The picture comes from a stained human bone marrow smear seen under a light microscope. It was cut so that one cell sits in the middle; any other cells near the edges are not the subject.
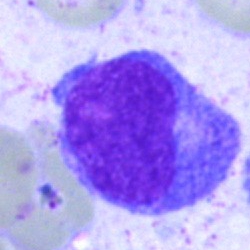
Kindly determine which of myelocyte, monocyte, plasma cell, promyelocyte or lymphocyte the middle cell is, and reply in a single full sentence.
For this crop, the central cell is a promyelocyte.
